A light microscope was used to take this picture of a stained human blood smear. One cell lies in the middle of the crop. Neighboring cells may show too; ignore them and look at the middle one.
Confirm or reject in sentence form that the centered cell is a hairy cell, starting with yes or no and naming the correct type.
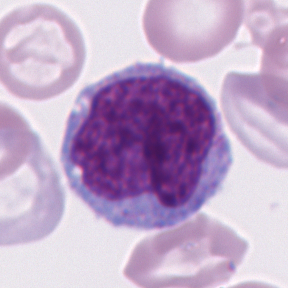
No, the central cell is a monocyte; it should not be labelled a hairy cell.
